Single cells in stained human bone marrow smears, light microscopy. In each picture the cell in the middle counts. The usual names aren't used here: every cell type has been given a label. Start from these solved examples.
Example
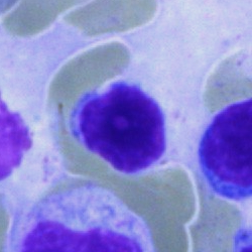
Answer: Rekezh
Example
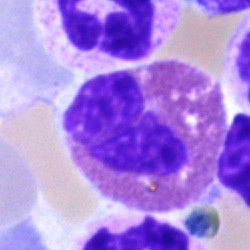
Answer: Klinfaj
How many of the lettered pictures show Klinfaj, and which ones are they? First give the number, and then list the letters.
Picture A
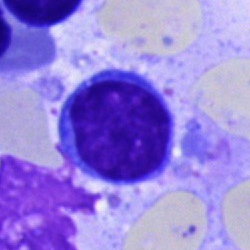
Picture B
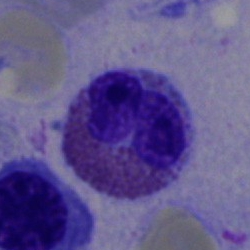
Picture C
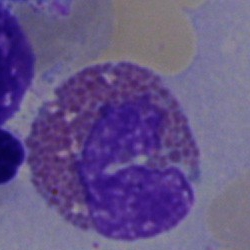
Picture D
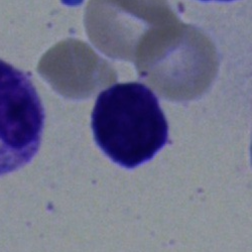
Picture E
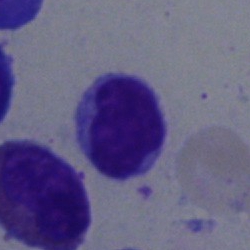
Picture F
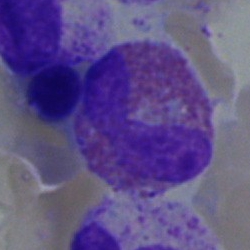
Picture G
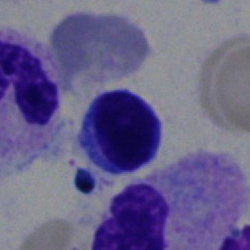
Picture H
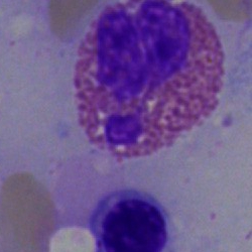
4, namely B, C, F, H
